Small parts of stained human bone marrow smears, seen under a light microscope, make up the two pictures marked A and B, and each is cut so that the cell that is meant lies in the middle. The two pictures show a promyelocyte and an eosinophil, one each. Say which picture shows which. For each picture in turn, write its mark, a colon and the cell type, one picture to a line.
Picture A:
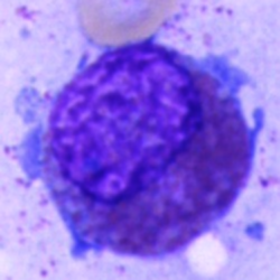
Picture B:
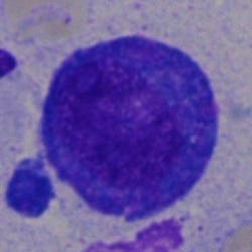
A: eosinophil
B: promyelocyte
